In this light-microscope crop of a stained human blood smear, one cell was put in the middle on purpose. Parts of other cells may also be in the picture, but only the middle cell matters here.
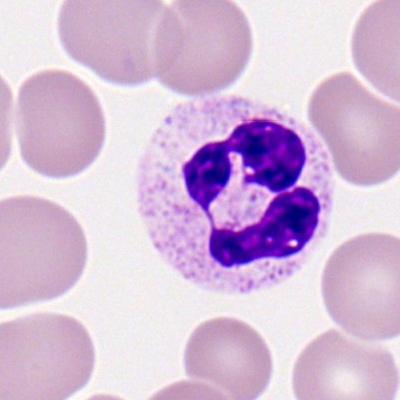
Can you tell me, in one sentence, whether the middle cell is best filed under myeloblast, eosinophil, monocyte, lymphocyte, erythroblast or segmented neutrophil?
Present in the middle of the crop is a segmented neutrophil.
